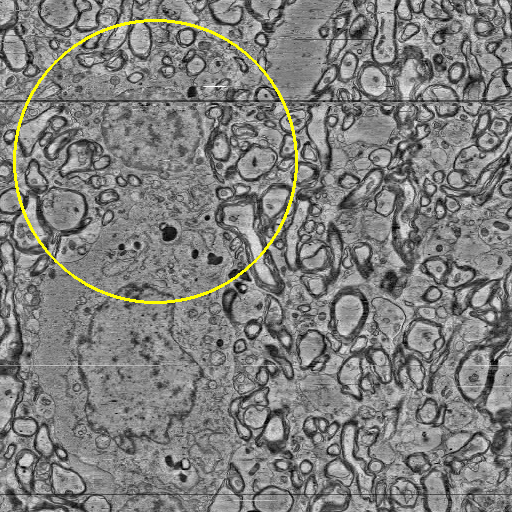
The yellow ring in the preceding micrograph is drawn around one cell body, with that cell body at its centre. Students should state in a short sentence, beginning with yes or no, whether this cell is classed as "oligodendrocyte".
Yes, this cell is of that type.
